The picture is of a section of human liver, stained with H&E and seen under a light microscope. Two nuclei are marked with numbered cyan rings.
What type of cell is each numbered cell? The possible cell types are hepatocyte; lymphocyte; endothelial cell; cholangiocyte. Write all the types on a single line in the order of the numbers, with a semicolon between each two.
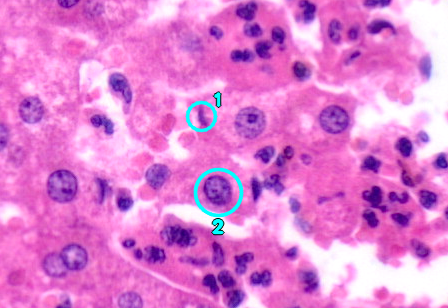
endothelial cell; hepatocyte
